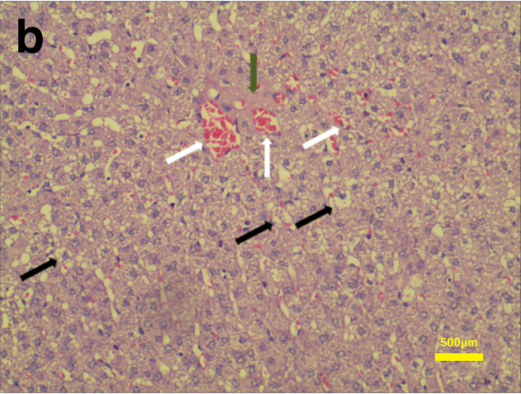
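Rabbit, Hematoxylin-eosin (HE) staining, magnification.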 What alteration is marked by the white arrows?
Central vein and sinusoids congestion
